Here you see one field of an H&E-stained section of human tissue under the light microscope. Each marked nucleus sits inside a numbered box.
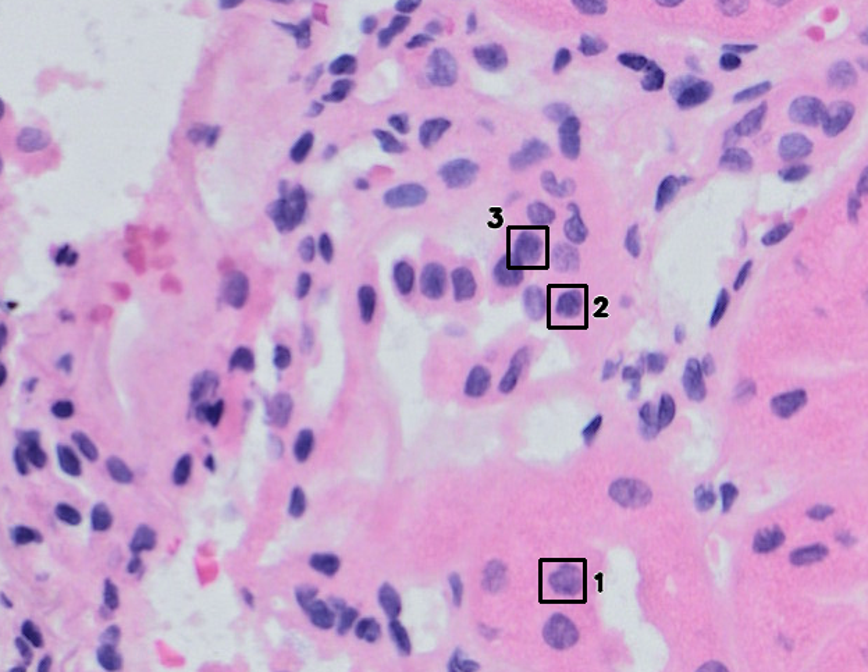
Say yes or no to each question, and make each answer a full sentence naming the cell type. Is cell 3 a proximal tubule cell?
No, the cell given the number 3 is a collecting duct cell, so not a proximal tubule cell.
